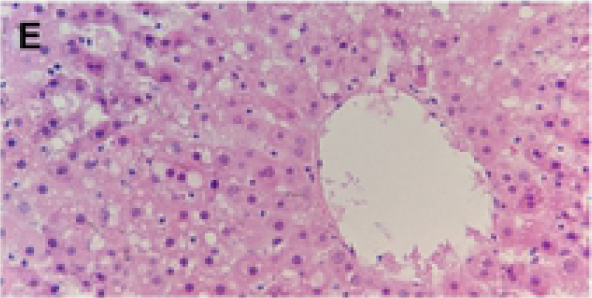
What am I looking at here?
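Liver parenchyma of polygonal cells with pink to purple cytoplasm and round nuclei surrounding a large, empty vessel lumen. Many cells, especially on the left, hold clear round vacuoles in their cytoplasm, and small dark nuclei are scattered between the cell cords.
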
